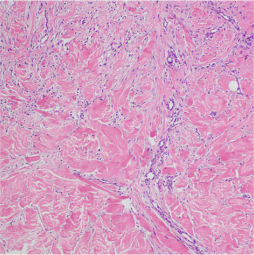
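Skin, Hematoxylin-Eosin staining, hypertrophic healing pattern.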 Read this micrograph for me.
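This is the dermis of a scar, and what dominates it is collagen laid down as coarse, thick bundles stained strong pink. The bundles run in different directions and are separated by narrow pale clefts. Between them lie thin strands of small, dark purple nuclei, many of them spindle-shaped, which belong to fibroblasts and small vessels squeezed among the bundles. Compared with normal dermis the collagen is much denser and more glassy.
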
